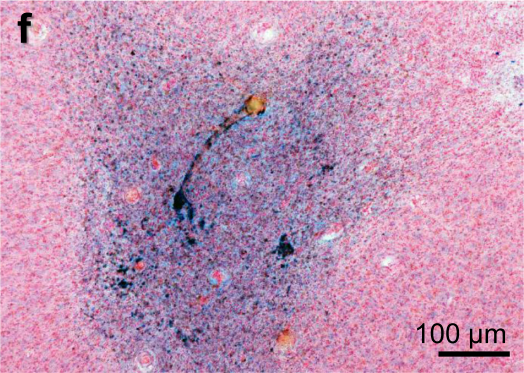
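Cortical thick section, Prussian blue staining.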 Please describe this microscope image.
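Coarse dark blue clumps and a dark blue curving strand lie within the centre. A few small vessel profiles with yellow-orange content are scattered around.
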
